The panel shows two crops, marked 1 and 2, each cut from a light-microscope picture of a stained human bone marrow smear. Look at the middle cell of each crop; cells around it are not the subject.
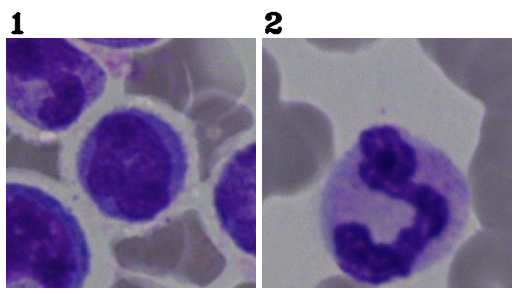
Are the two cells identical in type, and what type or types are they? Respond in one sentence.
No, a segmented neutrophil is depicted in crop 2, whereas a monocyte is depicted in crop 1.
